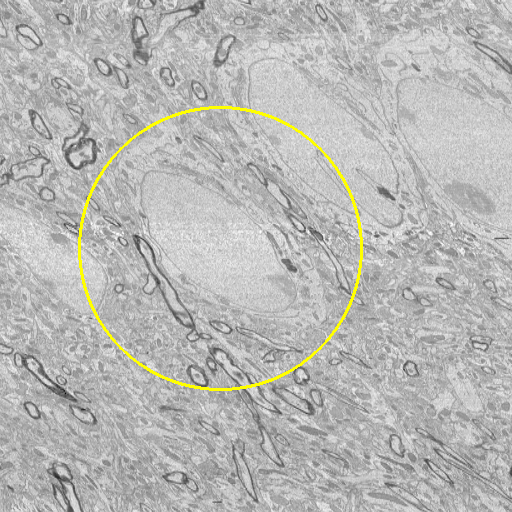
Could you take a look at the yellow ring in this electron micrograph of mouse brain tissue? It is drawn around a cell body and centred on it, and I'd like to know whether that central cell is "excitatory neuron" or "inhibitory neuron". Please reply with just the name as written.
excitatory neuron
